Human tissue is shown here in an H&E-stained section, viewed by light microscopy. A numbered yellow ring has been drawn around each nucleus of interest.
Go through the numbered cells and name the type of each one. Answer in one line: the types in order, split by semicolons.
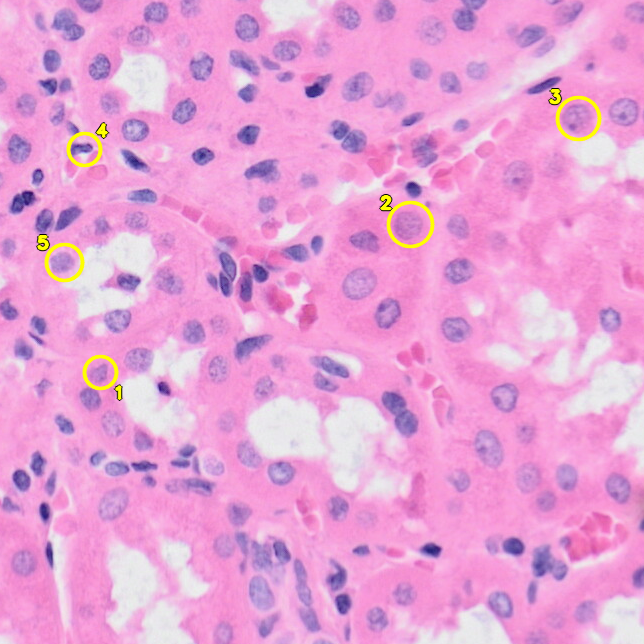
loop of Henle or distal tubule cell; proximal tubule cell; proximal tubule cell; endothelial cell; loop of Henle or distal tubule cell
